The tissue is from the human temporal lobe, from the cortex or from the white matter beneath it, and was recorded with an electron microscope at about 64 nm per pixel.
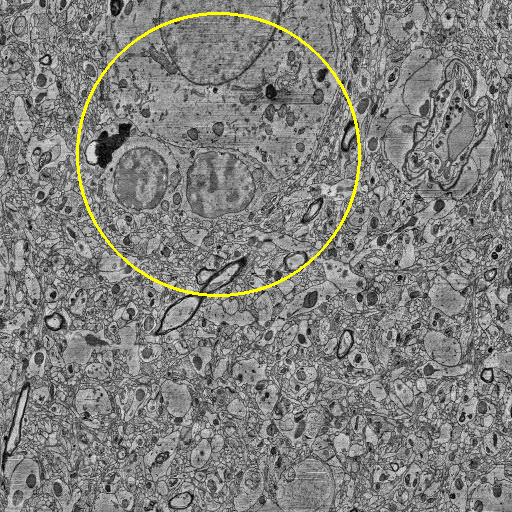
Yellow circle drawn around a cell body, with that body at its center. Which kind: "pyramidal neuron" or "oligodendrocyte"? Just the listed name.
oligodendrocyte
